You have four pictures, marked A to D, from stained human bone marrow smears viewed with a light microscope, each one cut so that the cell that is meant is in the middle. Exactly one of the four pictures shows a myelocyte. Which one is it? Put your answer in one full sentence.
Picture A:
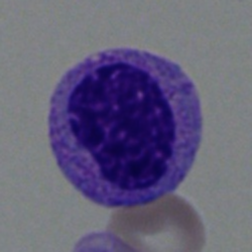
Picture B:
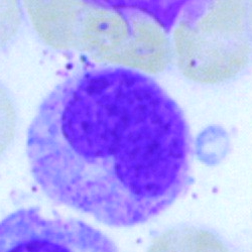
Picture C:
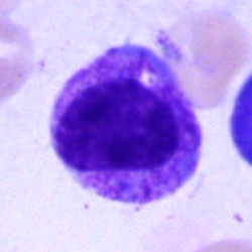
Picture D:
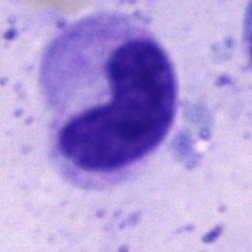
The cell in picture C is the myelocyte.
